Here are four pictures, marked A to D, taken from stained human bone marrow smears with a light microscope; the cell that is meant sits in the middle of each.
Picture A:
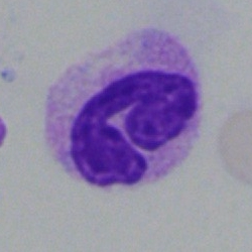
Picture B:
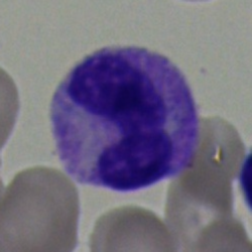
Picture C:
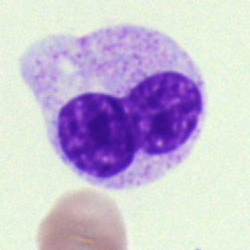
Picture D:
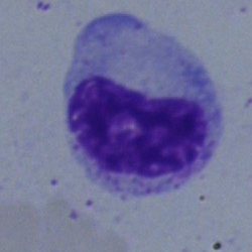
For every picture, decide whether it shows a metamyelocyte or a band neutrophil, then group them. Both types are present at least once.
A: band neutrophil
B: band neutrophil
C: band neutrophil
D: metamyelocyte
